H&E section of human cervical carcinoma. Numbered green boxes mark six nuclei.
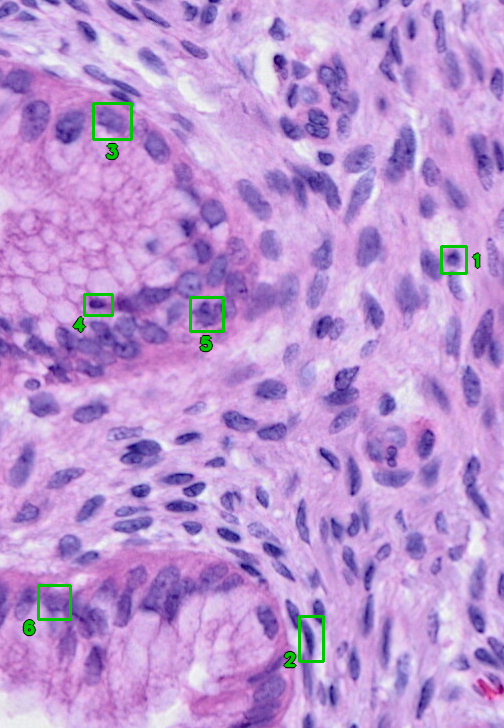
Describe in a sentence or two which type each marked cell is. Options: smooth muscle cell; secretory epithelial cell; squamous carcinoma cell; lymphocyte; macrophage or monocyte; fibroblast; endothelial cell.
Cell 1 is a lymphocyte, cell 2 is a fibroblast, cell 3 is a secretory epithelial cell, cell 4 is a secretory epithelial cell, cell 5 is a secretory epithelial cell and cell 6 is a secretory epithelial cell.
